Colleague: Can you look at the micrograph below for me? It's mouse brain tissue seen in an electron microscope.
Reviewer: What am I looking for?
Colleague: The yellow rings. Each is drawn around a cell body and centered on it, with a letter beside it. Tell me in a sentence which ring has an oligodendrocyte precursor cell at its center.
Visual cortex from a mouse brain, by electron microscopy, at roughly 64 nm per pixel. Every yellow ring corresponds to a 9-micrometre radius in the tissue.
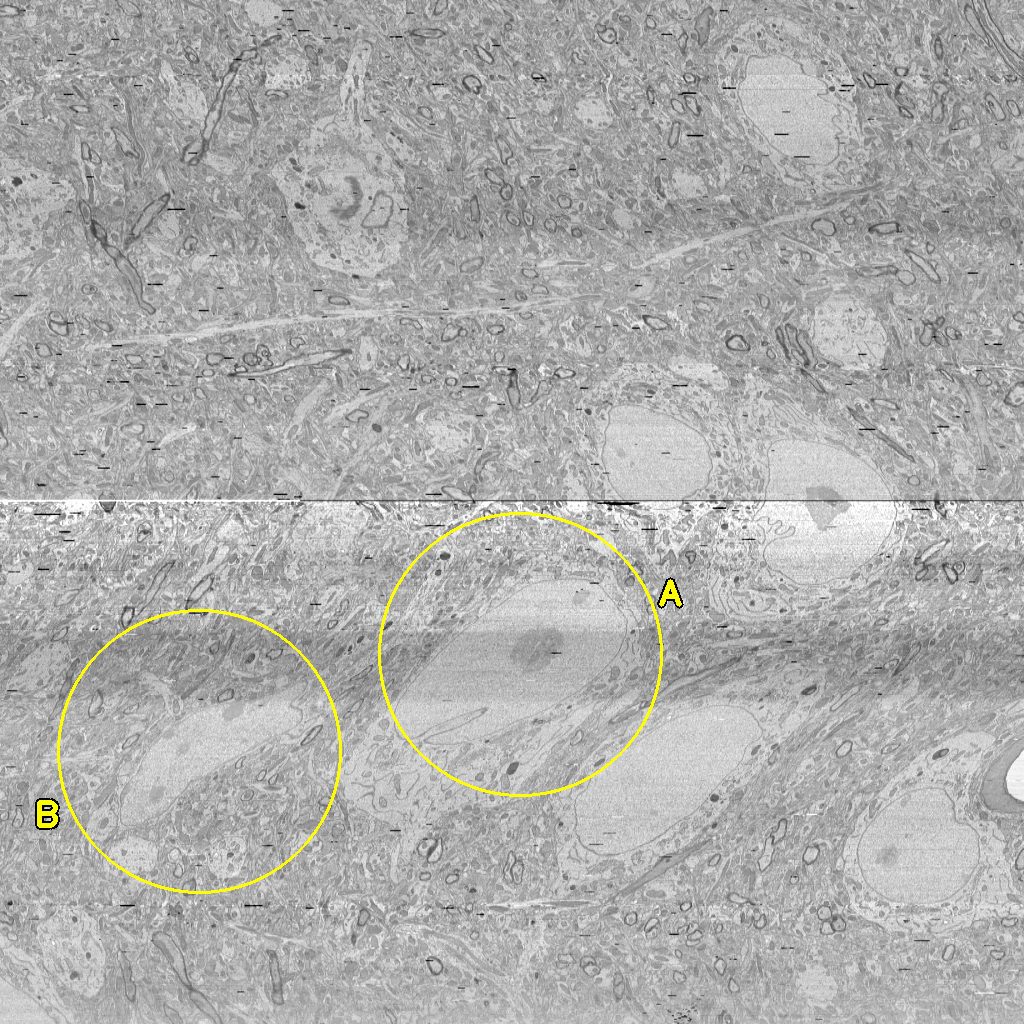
It's the cell in ring B.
